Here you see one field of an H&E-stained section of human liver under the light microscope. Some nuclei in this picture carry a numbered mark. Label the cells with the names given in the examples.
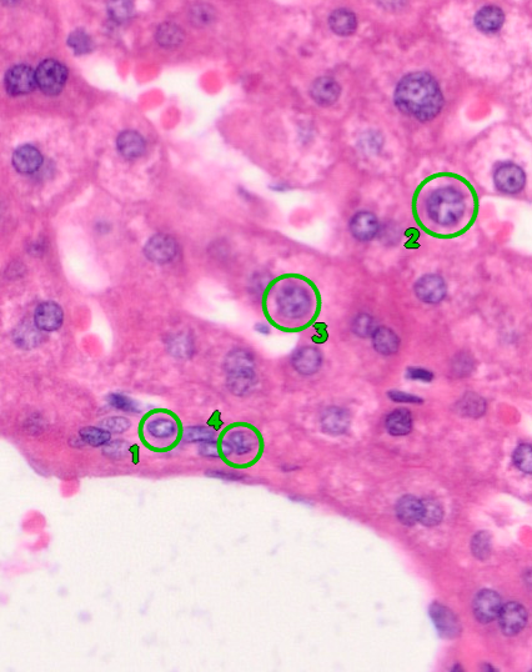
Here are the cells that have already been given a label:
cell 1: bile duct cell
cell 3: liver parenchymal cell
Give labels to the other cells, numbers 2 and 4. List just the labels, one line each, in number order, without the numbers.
liver parenchymal cell
bile duct cell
